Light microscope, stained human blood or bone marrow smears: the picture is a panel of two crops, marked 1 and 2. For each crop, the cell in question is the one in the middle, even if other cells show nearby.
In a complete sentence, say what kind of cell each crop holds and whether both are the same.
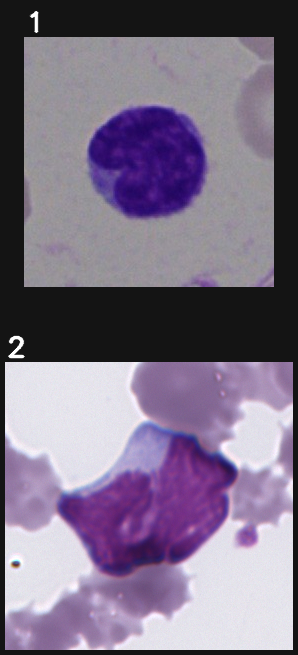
Yes, the cells at the centre of both crops are blasts.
